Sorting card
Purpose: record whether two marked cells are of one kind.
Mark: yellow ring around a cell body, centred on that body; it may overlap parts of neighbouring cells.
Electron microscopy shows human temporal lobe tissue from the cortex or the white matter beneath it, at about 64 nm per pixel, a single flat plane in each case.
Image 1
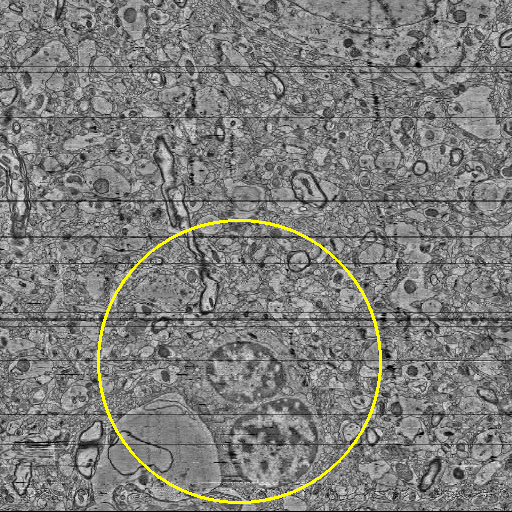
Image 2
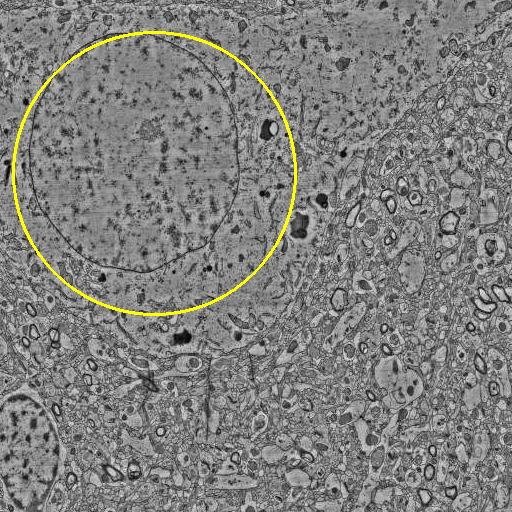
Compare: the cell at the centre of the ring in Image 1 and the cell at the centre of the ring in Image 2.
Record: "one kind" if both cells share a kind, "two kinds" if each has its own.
two kinds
